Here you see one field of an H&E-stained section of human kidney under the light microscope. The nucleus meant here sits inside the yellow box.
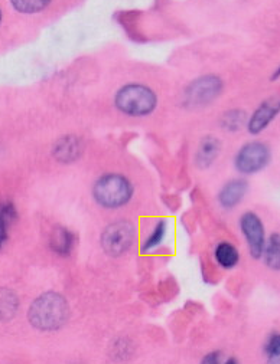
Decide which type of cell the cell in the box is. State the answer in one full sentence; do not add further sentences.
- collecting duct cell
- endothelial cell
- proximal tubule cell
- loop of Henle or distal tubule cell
Placed in its cell category, the cell in the box is an endothelial cell.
